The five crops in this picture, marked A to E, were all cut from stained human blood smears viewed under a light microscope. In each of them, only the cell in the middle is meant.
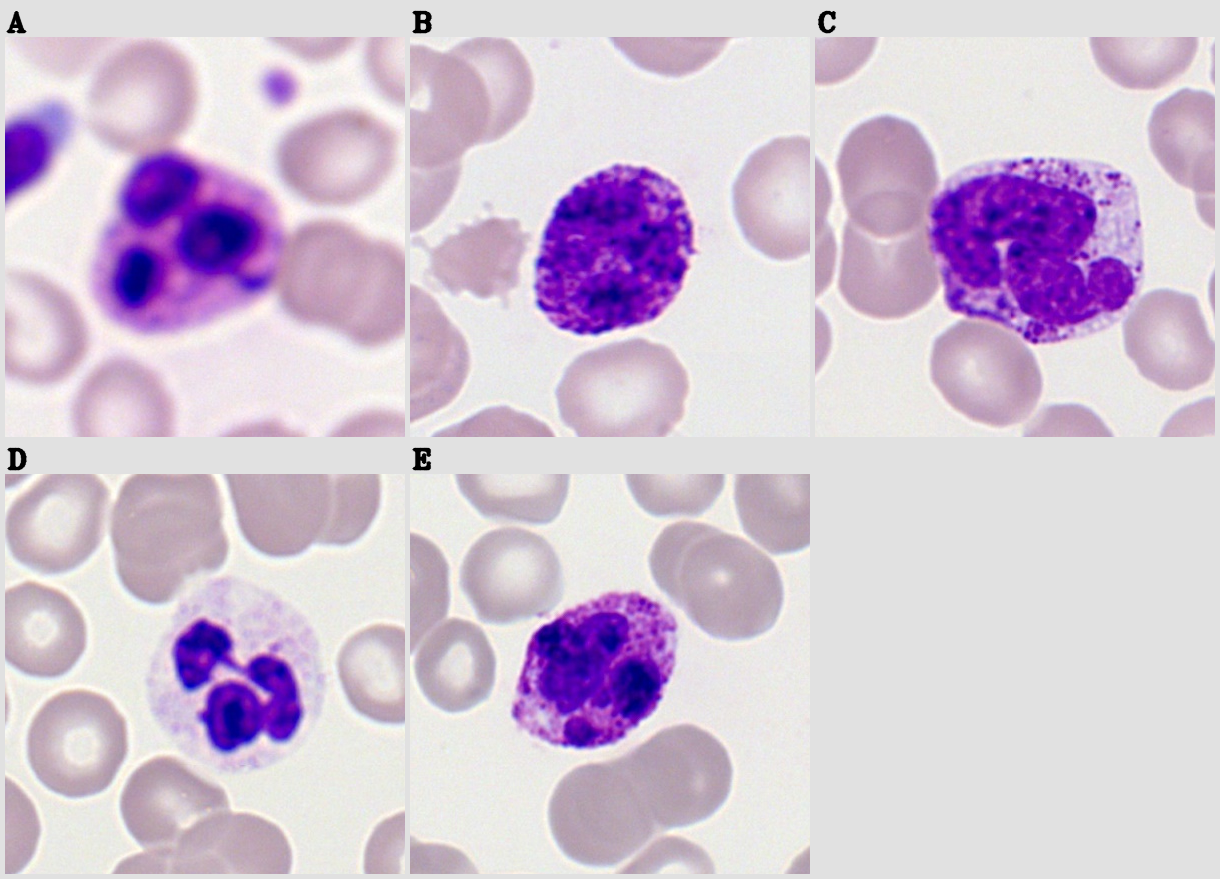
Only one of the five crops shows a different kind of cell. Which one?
D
